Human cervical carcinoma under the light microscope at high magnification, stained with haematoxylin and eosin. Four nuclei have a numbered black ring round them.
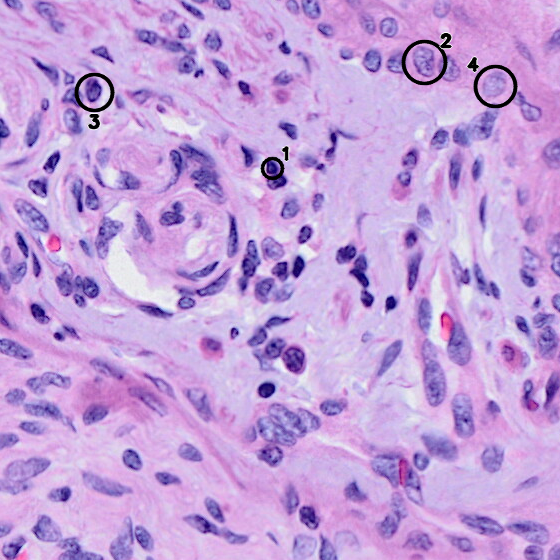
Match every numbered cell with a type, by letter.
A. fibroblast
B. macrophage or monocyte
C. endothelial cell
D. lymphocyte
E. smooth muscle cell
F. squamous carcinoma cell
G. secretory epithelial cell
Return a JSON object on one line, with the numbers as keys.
{"1": "D", "2": "E", "3": "D", "4": "E"}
